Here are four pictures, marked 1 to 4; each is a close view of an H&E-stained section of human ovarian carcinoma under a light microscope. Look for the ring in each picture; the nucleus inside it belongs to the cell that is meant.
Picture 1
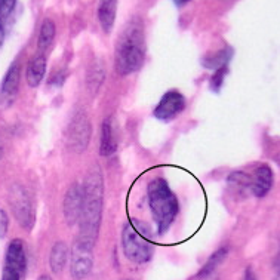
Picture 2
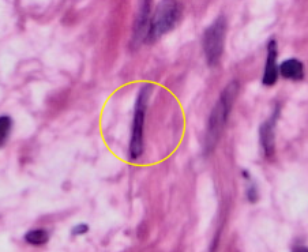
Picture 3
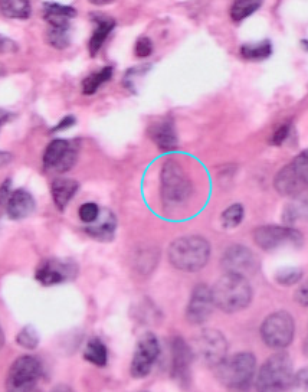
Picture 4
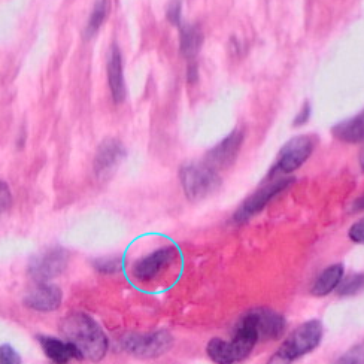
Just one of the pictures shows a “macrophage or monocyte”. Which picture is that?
1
